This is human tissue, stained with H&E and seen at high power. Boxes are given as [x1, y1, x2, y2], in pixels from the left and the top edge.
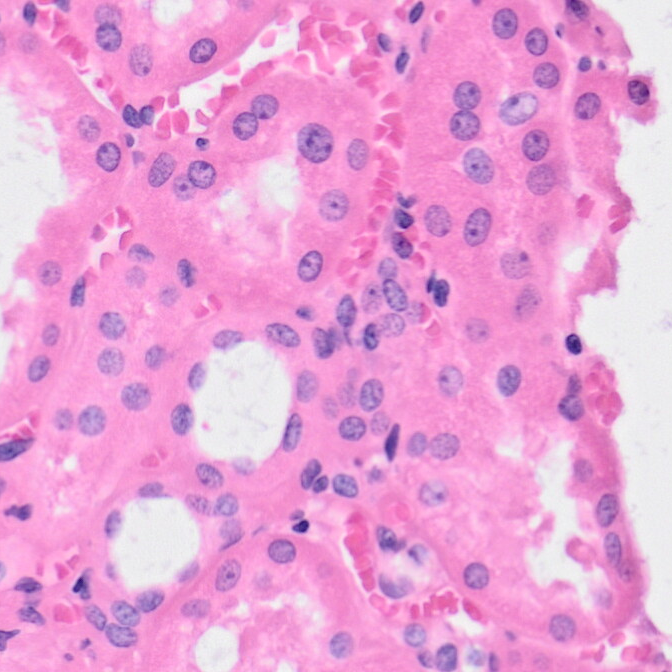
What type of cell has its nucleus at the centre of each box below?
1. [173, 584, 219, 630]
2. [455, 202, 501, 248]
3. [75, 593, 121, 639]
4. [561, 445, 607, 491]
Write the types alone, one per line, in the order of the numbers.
proximal tubule cell
proximal tubule cell
collecting duct cell
proximal tubule cell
